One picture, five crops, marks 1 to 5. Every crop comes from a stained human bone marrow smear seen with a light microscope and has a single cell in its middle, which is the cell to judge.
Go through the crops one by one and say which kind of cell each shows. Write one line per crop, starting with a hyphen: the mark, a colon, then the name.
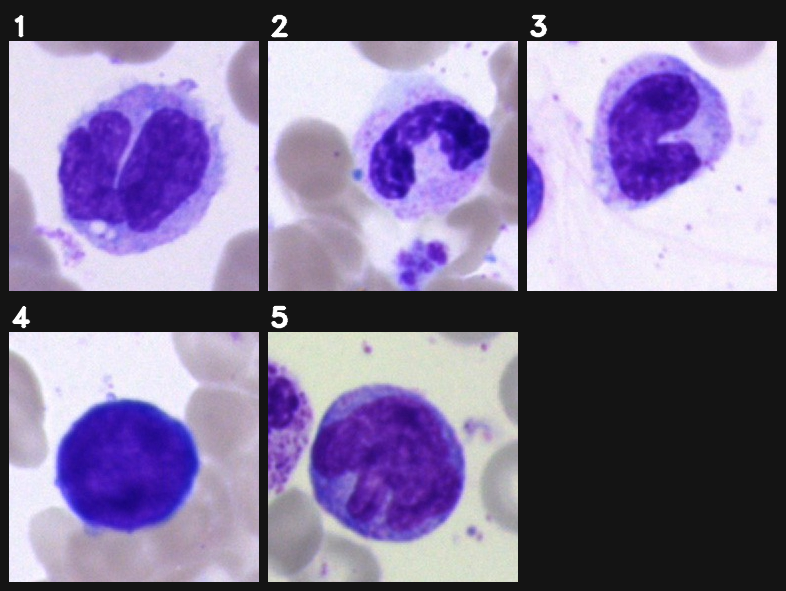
- 1: monocyte
- 2: band neutrophil
- 3: band neutrophil
- 4: proerythroblast
- 5: monocyte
